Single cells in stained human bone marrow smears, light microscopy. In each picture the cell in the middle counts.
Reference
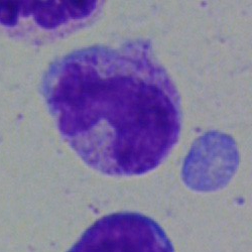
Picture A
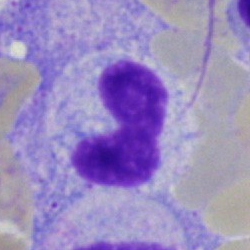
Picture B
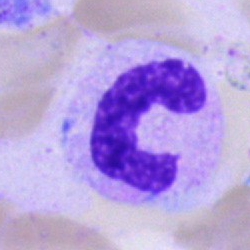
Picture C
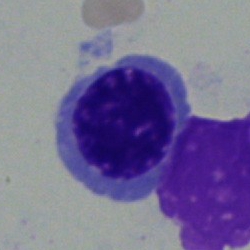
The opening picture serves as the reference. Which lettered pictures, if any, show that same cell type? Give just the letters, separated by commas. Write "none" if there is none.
A, B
